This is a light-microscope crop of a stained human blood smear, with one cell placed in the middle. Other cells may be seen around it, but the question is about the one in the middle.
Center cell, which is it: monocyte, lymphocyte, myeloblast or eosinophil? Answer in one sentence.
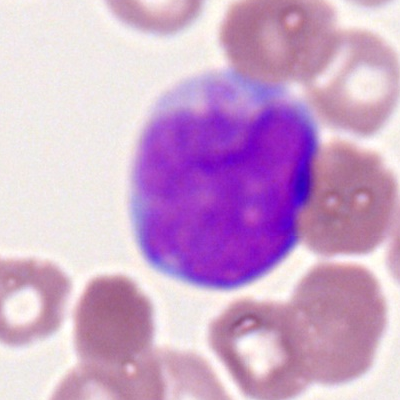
Centred in the crop is a myeloblast.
